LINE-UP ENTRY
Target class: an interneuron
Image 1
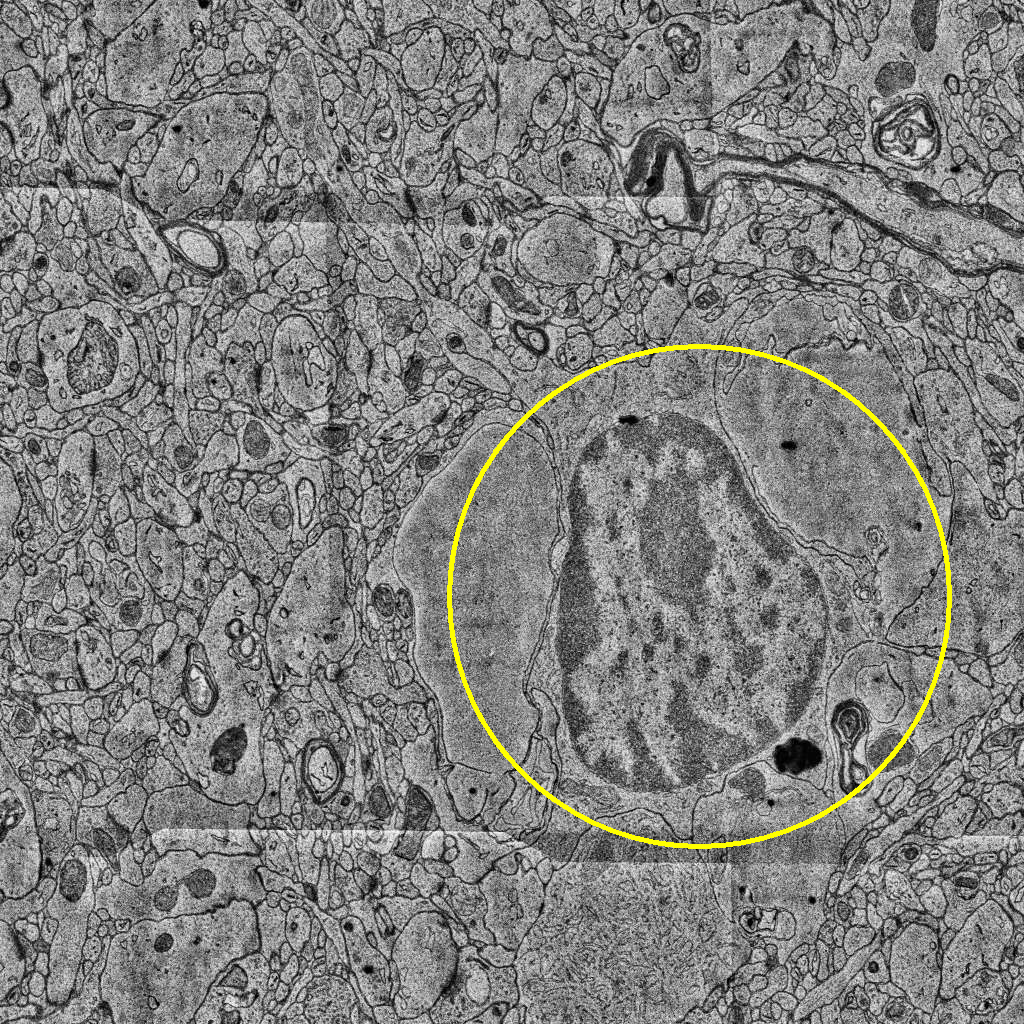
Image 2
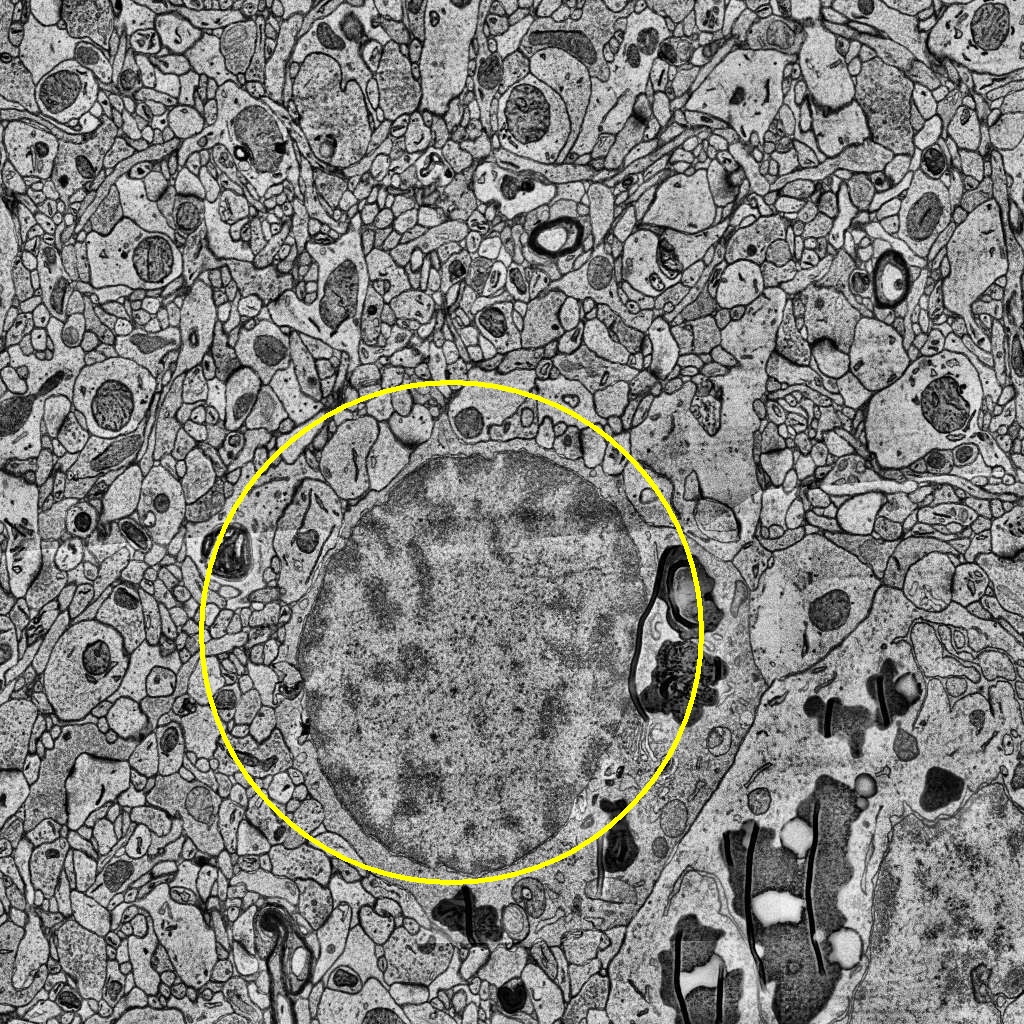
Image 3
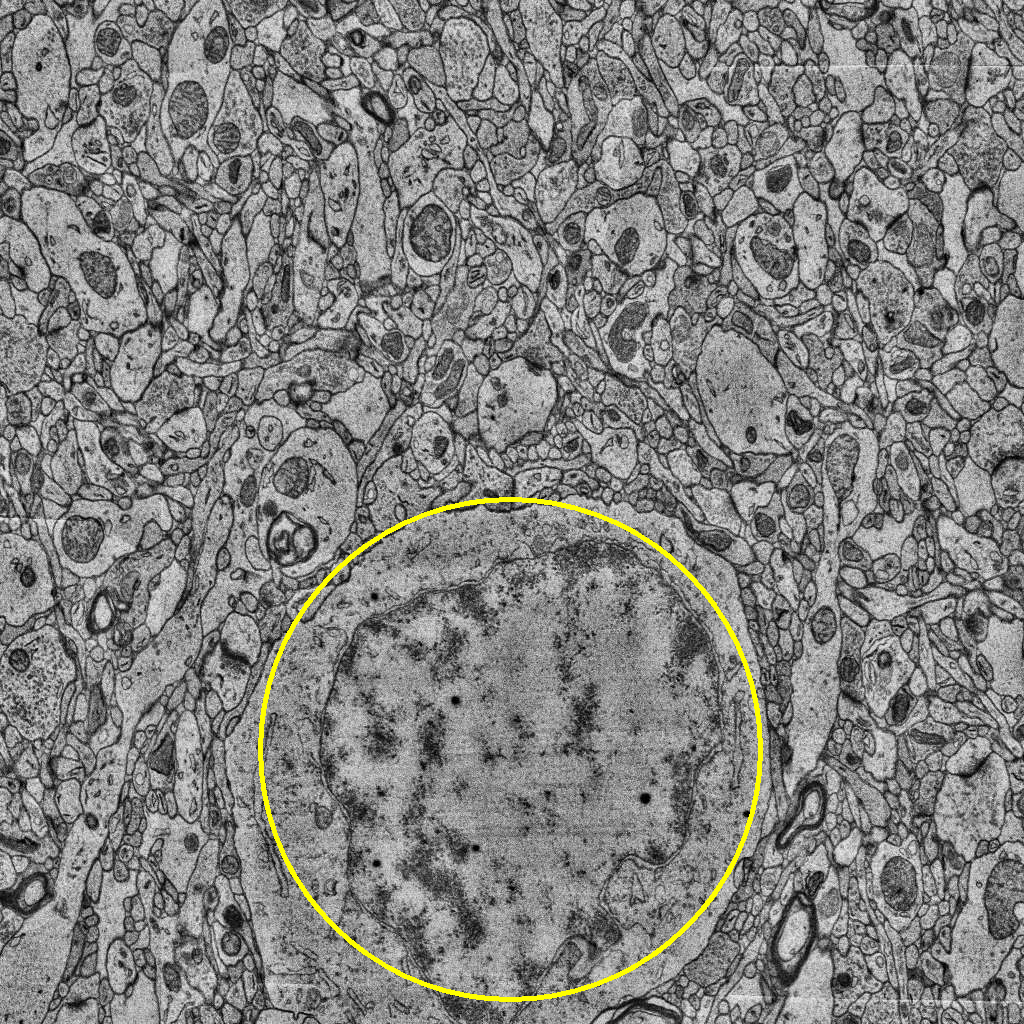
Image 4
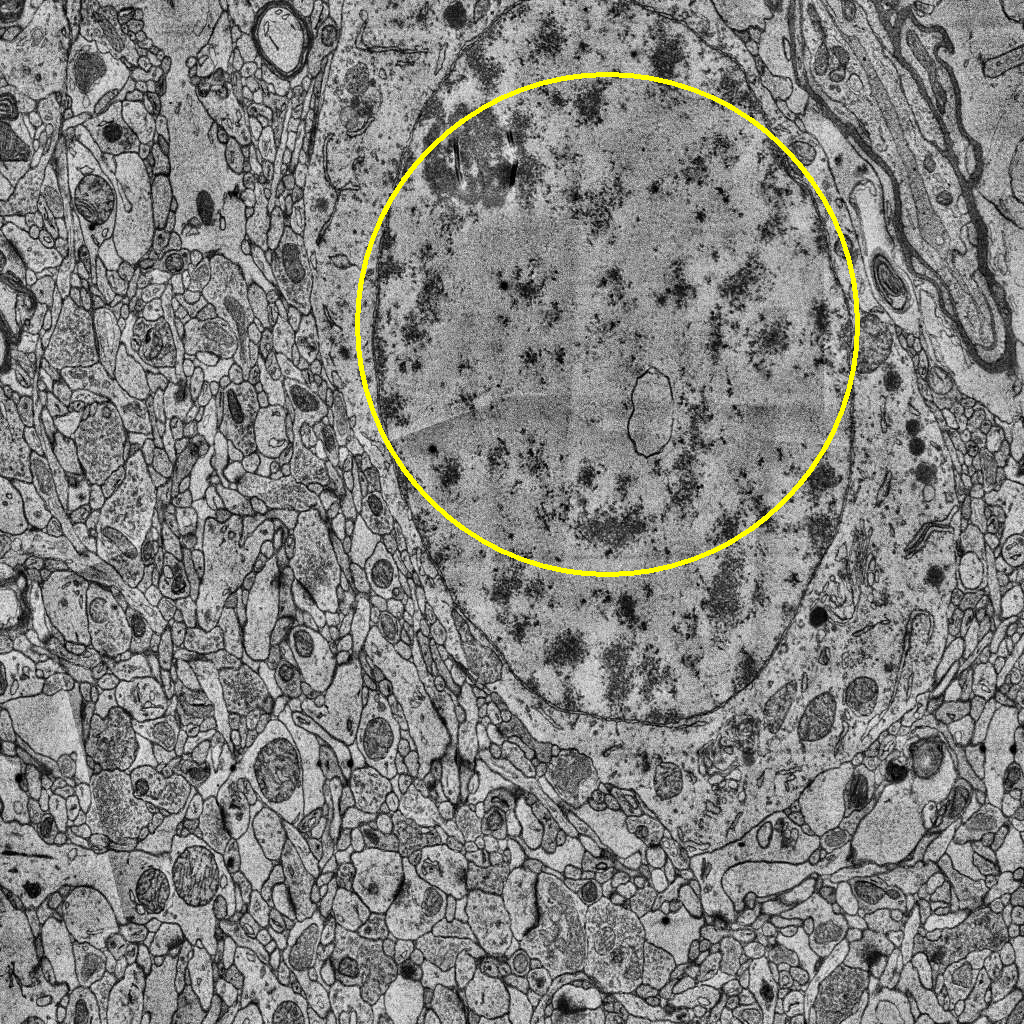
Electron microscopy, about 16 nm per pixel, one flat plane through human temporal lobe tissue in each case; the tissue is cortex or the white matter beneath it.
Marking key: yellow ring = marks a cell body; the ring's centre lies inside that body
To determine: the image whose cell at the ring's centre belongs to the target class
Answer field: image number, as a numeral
3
